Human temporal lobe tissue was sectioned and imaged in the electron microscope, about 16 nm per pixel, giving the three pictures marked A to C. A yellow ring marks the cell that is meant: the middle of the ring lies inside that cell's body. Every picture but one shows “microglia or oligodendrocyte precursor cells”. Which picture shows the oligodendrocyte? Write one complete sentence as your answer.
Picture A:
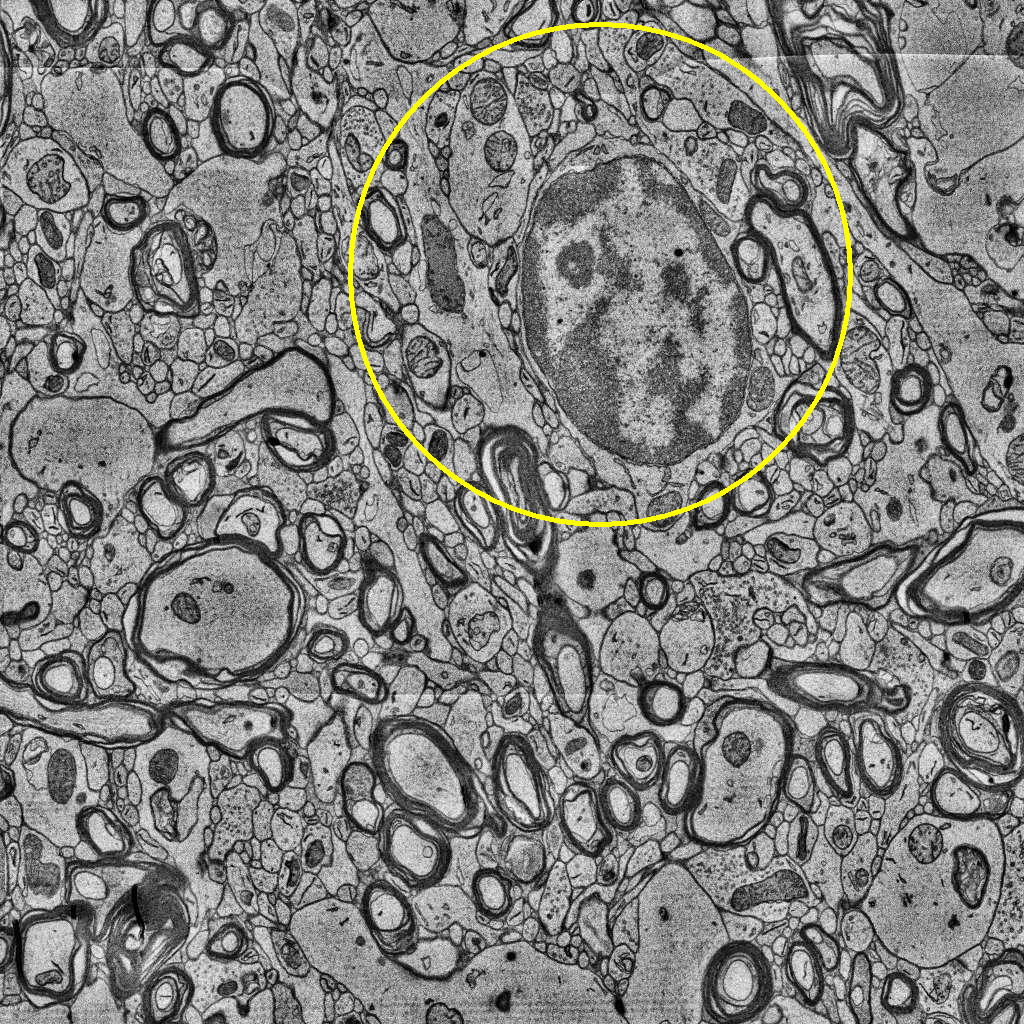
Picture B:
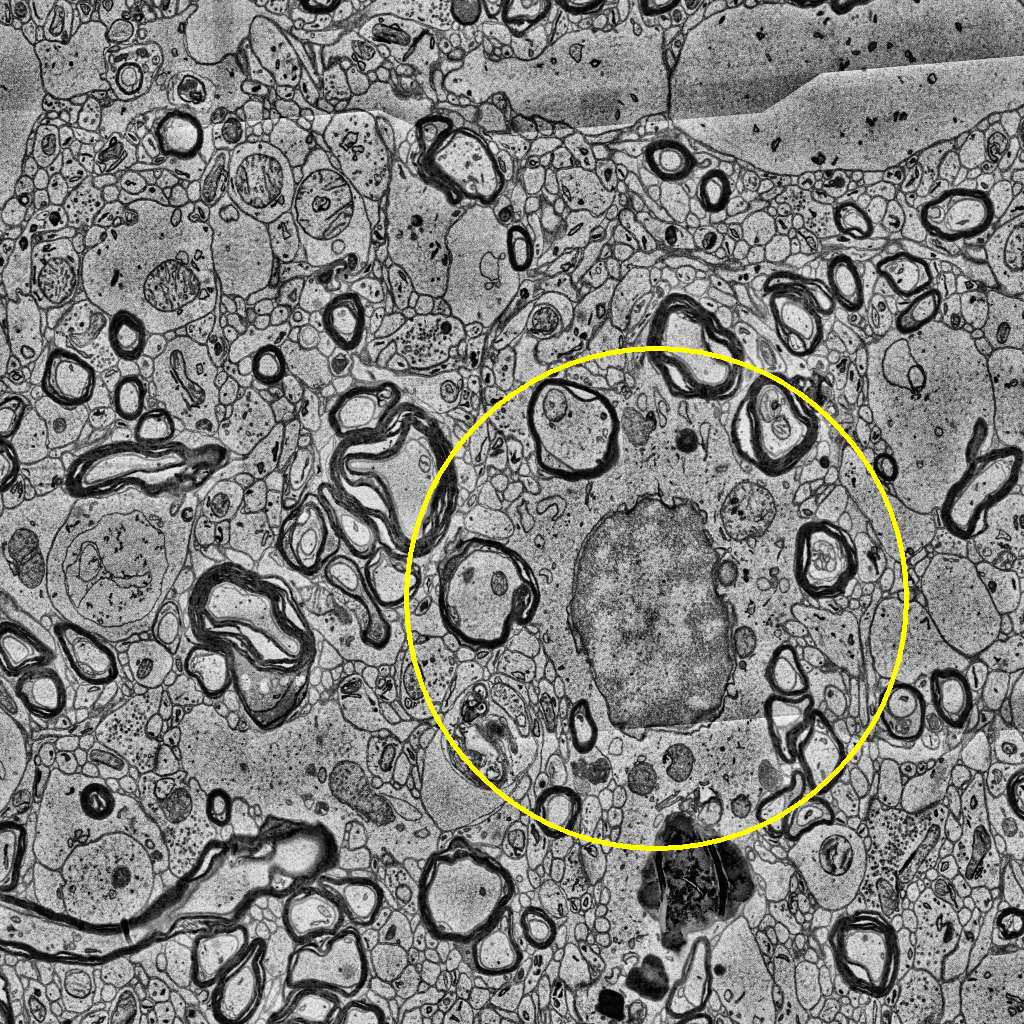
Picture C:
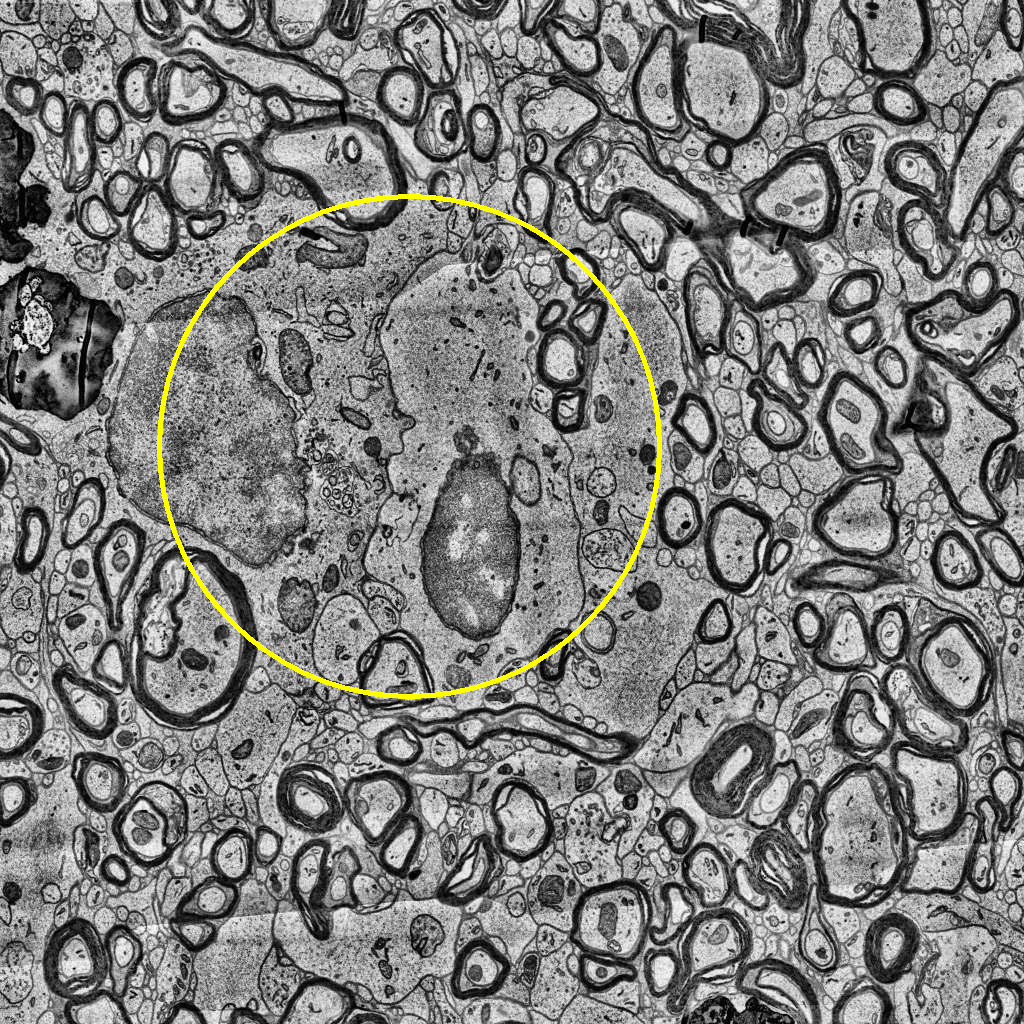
Picture B is the one that shows the oligodendrocyte.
